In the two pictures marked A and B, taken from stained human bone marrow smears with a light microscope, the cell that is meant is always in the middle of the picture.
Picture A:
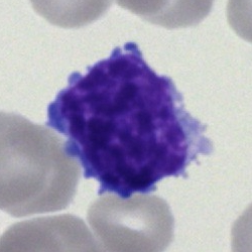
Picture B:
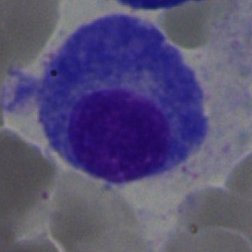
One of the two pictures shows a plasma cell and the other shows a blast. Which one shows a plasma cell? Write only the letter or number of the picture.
B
